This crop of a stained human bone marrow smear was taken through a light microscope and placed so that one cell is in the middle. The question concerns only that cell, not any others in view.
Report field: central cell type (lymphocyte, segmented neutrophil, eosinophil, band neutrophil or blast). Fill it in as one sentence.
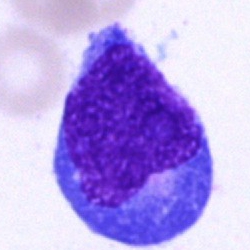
At the crop's centre, the cell is a blast.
